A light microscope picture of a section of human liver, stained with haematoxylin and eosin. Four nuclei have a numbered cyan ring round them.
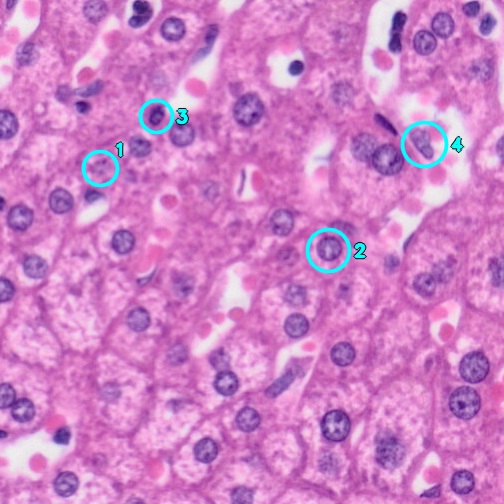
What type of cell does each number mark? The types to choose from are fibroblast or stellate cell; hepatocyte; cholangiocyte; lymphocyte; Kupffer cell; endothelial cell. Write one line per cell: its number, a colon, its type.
1: hepatocyte
2: hepatocyte
3: fibroblast or stellate cell
4: Kupffer cell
